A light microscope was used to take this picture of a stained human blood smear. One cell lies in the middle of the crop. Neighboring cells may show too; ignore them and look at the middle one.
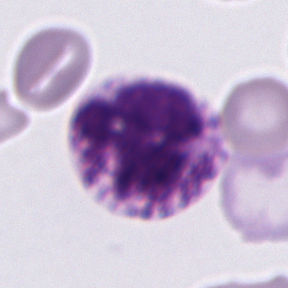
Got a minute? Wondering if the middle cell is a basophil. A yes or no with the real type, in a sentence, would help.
Yes, the middle cell is classified as a basophil.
